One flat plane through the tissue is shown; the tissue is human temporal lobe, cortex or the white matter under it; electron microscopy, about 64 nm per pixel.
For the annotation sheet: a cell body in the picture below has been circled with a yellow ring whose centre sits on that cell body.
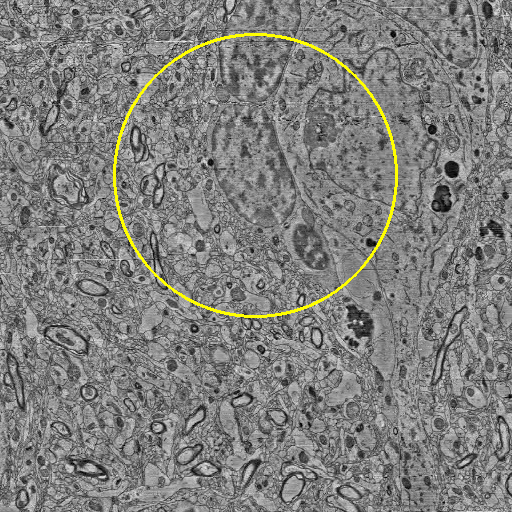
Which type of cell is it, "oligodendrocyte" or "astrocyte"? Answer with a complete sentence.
The circled cell is an oligodendrocyte.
